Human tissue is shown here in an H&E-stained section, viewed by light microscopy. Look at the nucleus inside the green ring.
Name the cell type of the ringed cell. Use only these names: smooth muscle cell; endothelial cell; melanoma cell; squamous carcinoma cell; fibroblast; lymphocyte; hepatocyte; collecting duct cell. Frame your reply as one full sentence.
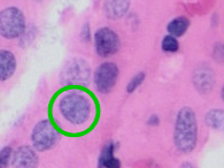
So far as cell type goes, the ringed cell is a collecting duct cell.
